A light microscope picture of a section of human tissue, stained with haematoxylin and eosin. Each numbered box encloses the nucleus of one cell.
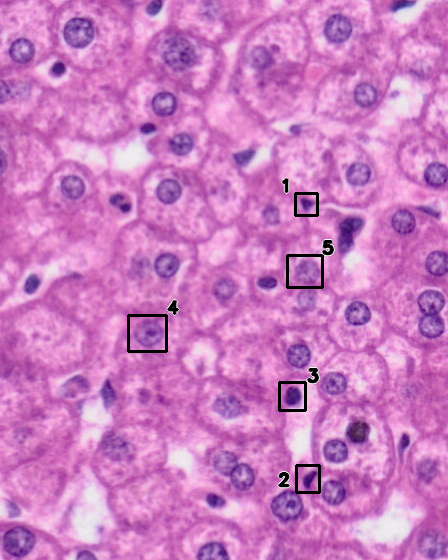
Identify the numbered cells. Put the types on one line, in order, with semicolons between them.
fibroblast or stellate cell; fibroblast or stellate cell; lymphocyte; hepatocyte; hepatocyte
